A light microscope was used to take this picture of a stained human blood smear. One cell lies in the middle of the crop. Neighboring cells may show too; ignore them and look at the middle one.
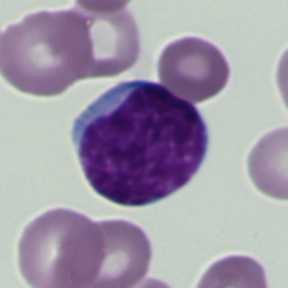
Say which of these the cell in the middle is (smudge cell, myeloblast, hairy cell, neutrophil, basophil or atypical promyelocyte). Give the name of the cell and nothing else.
myeloblast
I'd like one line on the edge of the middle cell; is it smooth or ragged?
There are no projections here; the outline is simply smooth.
